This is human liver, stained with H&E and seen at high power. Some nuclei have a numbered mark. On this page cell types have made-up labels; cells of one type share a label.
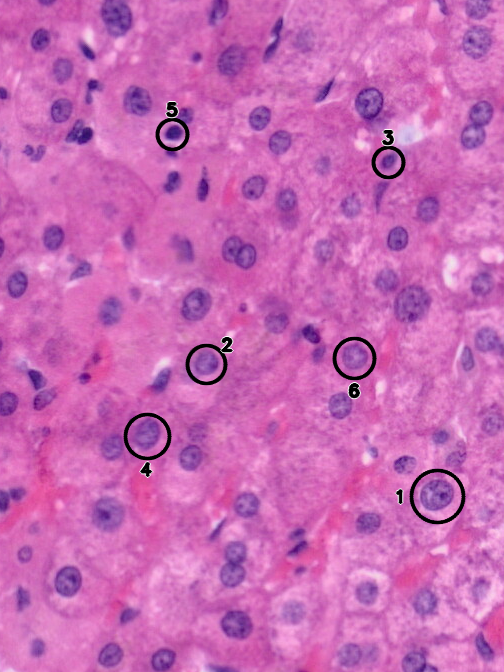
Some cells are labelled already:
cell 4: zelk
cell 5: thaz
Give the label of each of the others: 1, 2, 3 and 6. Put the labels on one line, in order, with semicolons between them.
zelk; zelk; thaz; zelk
